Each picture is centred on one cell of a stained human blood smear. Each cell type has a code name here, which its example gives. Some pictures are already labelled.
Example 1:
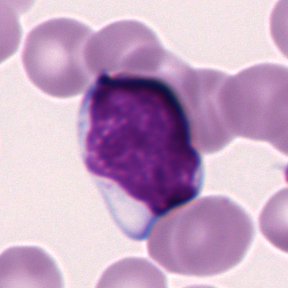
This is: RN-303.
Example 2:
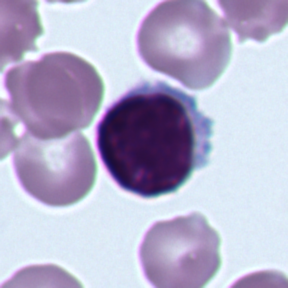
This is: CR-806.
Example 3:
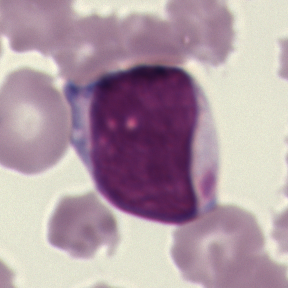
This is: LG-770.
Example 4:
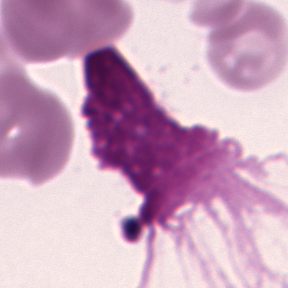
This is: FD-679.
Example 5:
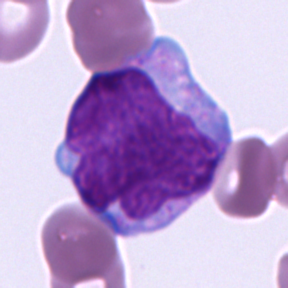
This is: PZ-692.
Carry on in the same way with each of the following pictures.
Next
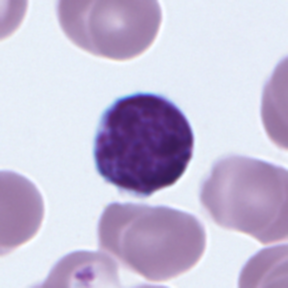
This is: CR-806.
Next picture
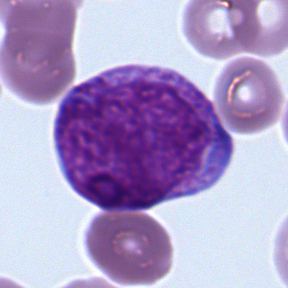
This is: PZ-692.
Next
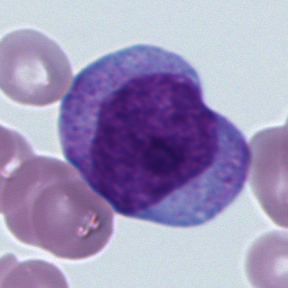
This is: PZ-692.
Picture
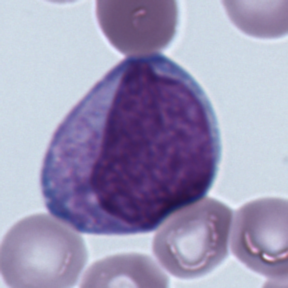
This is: PZ-692.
